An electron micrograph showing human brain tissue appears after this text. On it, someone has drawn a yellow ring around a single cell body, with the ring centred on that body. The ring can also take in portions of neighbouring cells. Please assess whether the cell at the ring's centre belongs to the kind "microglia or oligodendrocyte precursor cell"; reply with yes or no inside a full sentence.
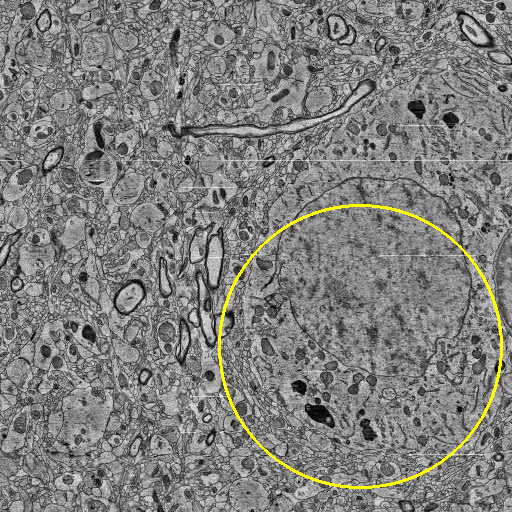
No, in this micrograph the cell at the centre of the ring is of another kind.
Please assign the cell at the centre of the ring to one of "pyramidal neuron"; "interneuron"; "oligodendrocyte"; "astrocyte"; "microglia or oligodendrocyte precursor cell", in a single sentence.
Instead, the cell inside the ring is a pyramidal neuron.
